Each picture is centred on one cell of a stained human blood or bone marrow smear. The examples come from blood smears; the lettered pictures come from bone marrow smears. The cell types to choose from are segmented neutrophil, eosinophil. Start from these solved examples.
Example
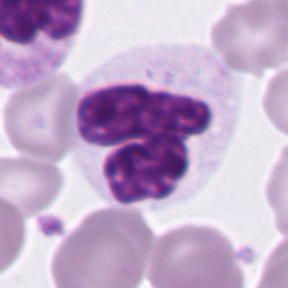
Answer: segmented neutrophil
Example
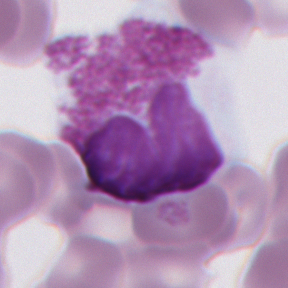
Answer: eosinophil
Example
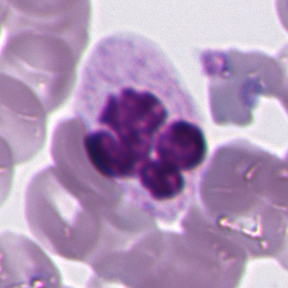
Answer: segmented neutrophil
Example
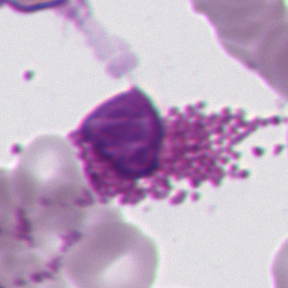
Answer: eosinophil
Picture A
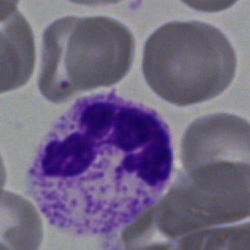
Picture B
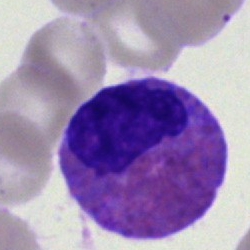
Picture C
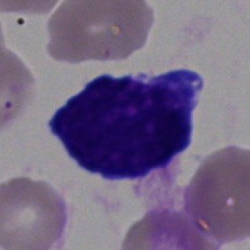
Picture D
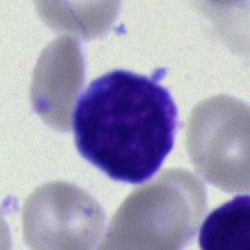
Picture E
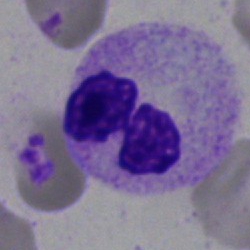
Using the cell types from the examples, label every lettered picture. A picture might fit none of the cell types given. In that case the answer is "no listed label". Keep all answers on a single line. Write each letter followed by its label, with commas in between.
A segmented neutrophil, B eosinophil, C no listed label, D no listed label, E segmented neutrophil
